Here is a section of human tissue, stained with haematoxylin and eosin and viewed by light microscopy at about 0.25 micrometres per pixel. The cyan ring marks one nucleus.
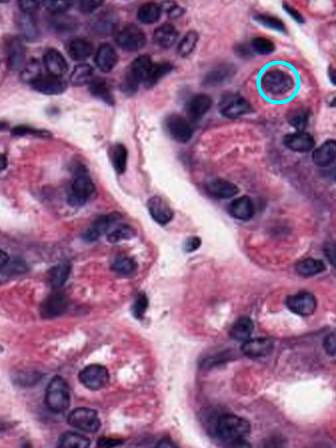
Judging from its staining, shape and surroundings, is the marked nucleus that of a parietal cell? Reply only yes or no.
yes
